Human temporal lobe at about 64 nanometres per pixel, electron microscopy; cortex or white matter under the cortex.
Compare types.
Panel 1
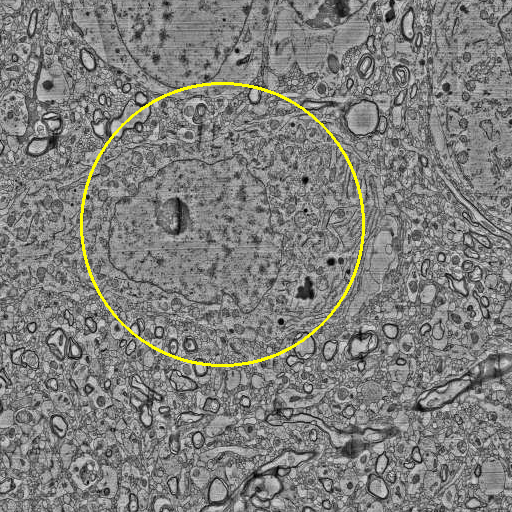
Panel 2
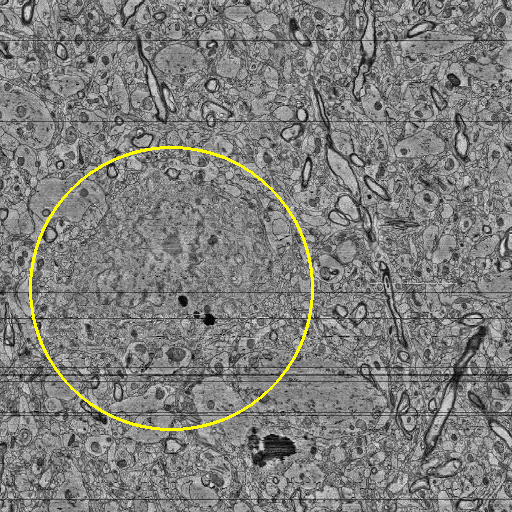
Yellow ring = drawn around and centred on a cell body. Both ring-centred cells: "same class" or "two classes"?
same class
